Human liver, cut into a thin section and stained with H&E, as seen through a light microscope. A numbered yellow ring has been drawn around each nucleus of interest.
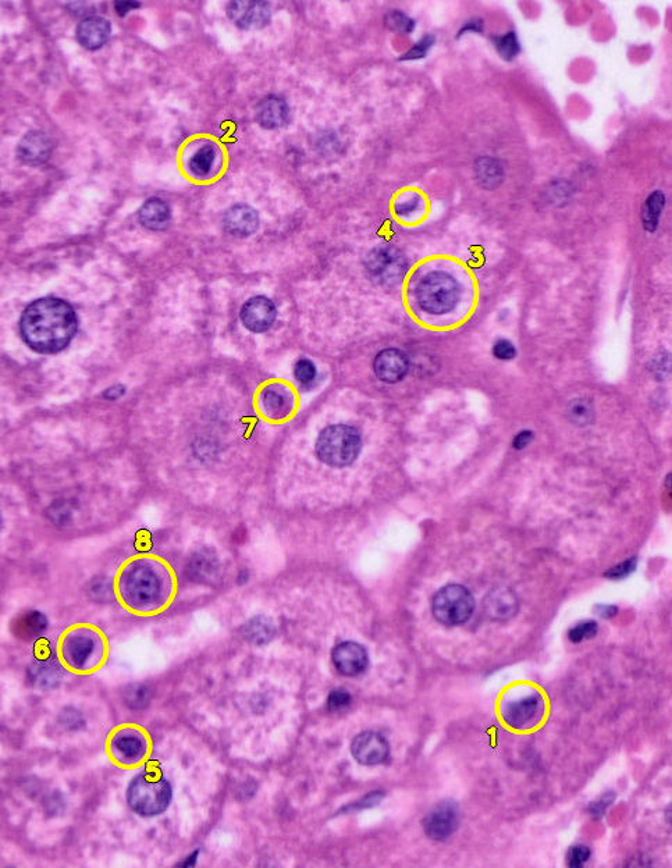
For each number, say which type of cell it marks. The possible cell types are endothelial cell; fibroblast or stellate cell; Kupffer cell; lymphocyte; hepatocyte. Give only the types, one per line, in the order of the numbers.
endothelial cell
lymphocyte
hepatocyte
Kupffer cell
fibroblast or stellate cell
fibroblast or stellate cell
Kupffer cell
hepatocyte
